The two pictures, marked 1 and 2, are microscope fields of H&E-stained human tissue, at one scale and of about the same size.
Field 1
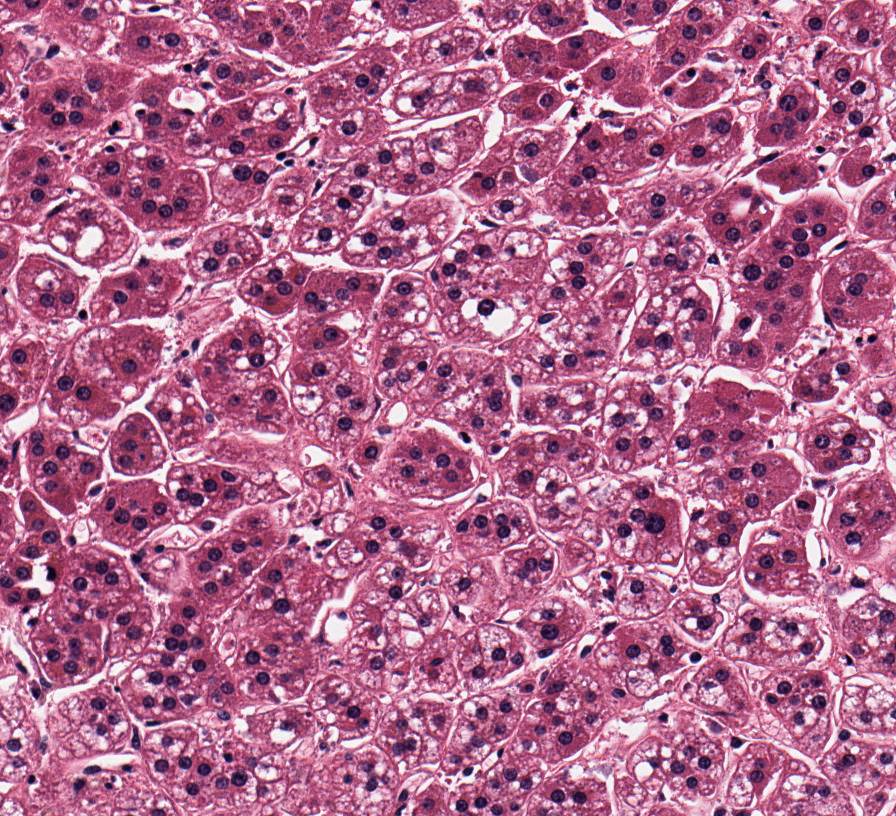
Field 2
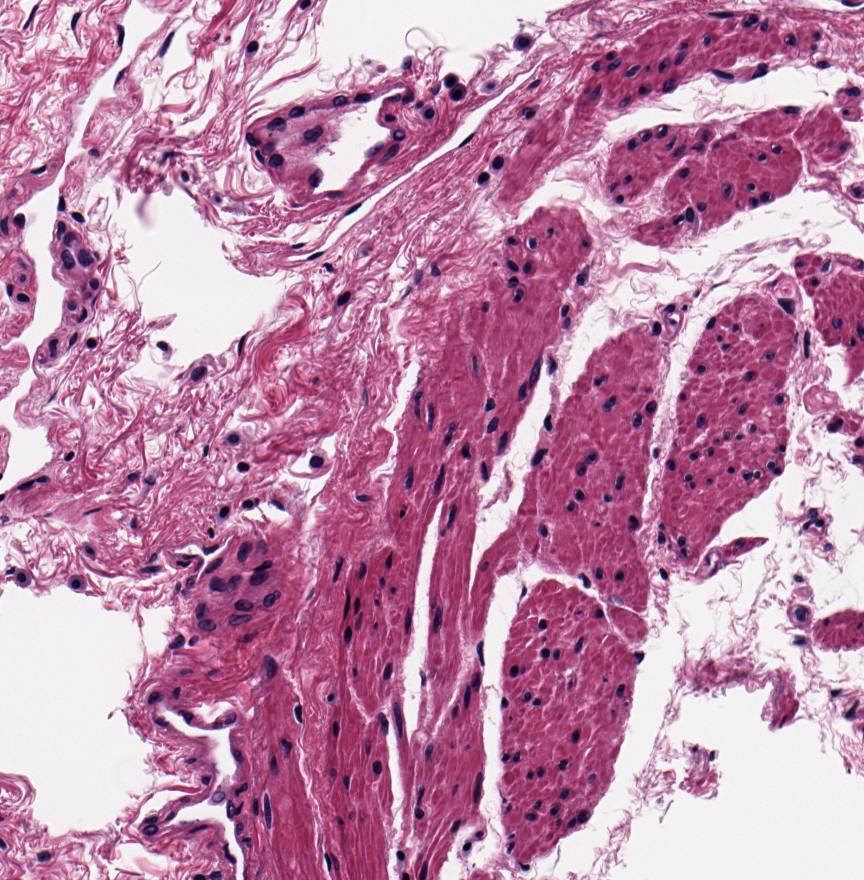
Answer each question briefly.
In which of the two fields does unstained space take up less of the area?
1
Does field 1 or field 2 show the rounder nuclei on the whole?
1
